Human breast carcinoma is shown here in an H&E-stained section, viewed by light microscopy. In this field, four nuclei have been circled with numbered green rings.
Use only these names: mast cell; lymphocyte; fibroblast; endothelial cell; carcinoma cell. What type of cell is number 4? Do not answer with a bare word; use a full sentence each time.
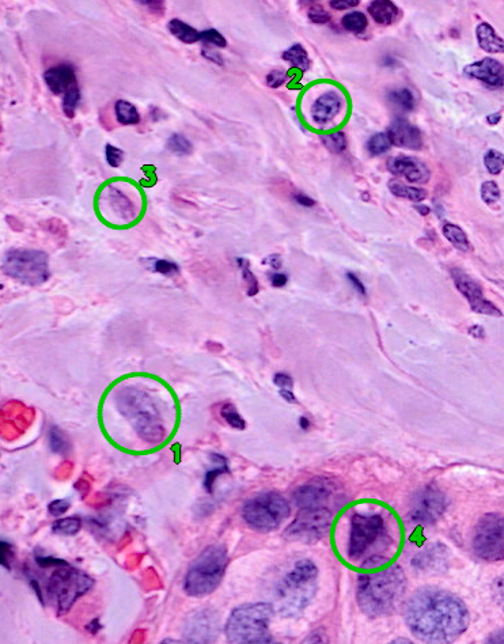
The cell that carries the label 4 is a carcinoma cell.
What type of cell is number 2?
Cell 2 in the field is a mast cell.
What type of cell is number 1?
Identified by the number 1, the cell is a fibroblast.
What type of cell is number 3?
Corresponding to a fibroblast is the cell labelled 3.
